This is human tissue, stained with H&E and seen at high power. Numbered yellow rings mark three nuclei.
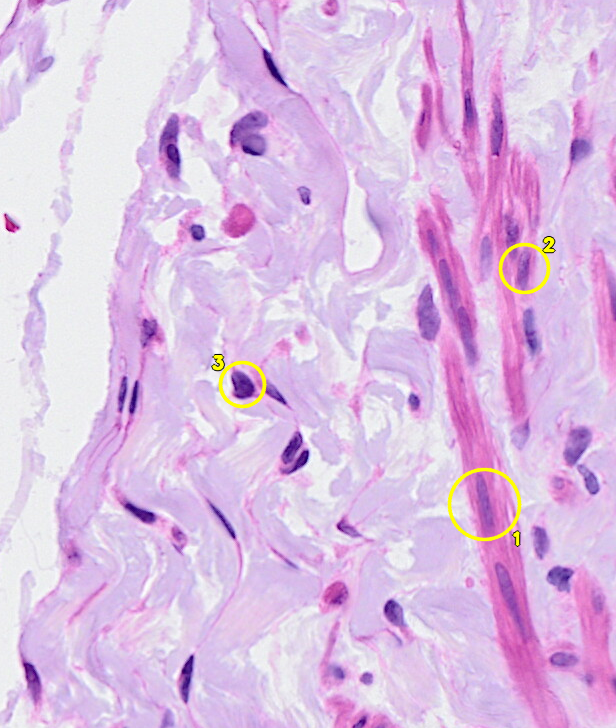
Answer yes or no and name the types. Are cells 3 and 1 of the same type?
No, cell 3 is a fibroblast and cell 1 is a smooth muscle cell.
